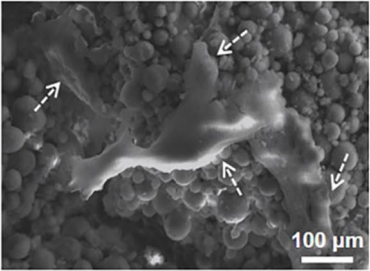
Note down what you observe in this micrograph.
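Scanning electron micrograph of a cultured cell lying on a scaffold surface made of densely packed spherical particles of varied size. The cell is flattened and irregular, spread across many particles, with broad sheet-like extensions and tapering processes reaching outward in several directions. Its smooth surface drapes over and between the underlying spheres, and white dashed arrows point to the cell's margins and extensions.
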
